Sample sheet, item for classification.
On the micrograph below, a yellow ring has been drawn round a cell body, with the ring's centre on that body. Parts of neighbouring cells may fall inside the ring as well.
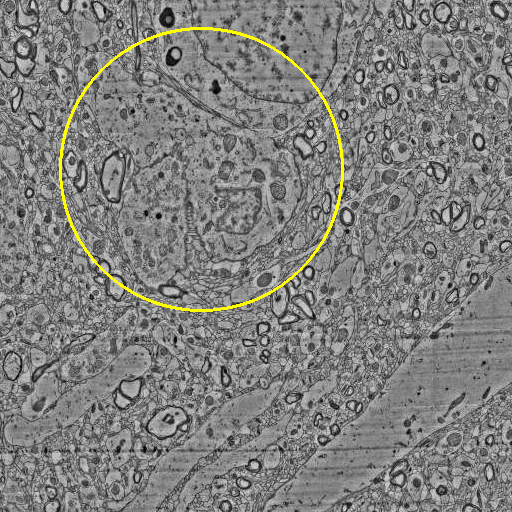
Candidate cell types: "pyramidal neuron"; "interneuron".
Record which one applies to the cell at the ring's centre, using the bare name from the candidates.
pyramidal neuron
